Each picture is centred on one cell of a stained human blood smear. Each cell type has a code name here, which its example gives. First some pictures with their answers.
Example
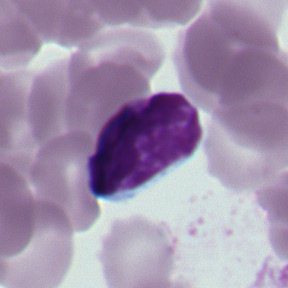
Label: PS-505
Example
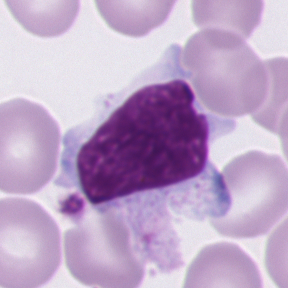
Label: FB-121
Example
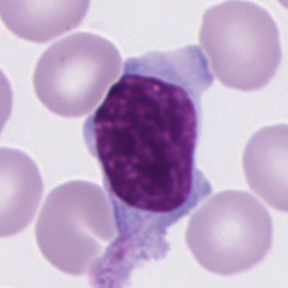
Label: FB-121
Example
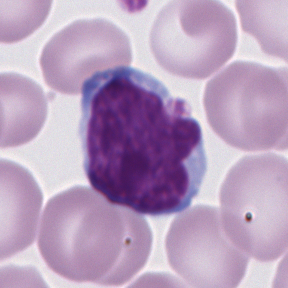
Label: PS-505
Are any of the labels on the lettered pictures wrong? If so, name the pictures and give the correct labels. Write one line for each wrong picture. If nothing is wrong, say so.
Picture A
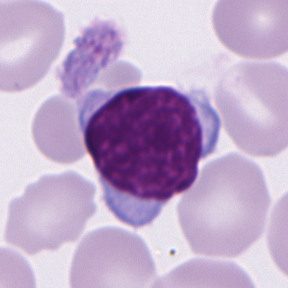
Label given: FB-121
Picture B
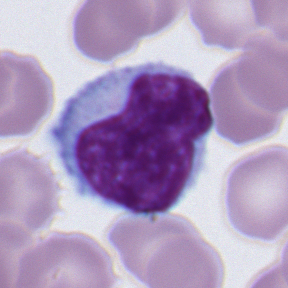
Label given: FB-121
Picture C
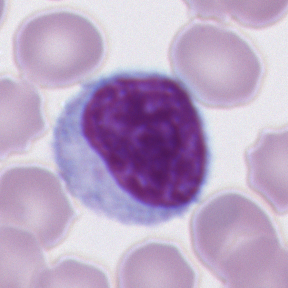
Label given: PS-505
A should be PS-505, not FB-121
B should be PS-505, not FB-121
